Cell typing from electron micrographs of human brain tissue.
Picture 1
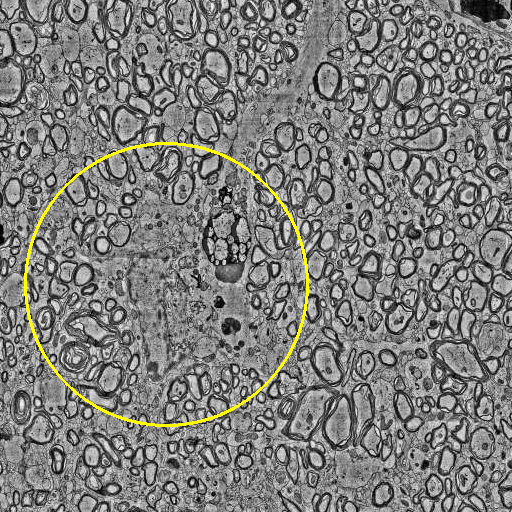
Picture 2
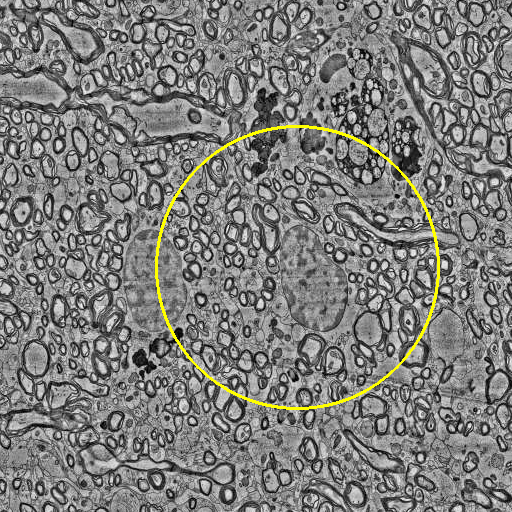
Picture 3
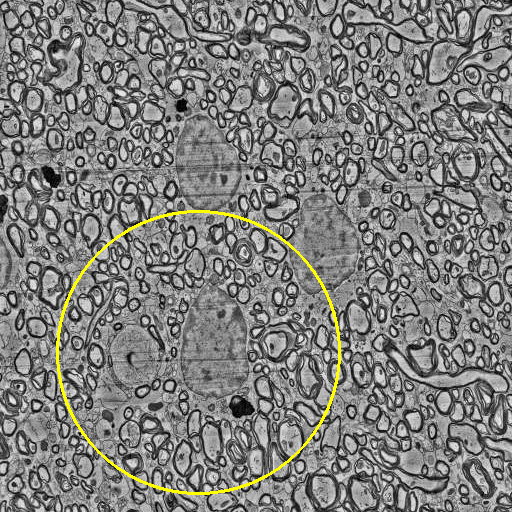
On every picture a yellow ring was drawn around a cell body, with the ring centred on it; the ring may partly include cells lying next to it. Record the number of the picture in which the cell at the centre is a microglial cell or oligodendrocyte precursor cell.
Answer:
2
